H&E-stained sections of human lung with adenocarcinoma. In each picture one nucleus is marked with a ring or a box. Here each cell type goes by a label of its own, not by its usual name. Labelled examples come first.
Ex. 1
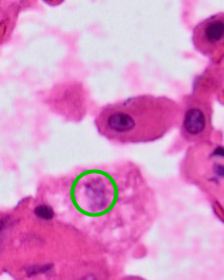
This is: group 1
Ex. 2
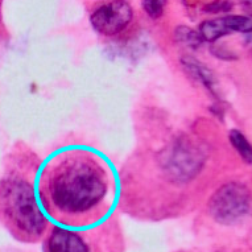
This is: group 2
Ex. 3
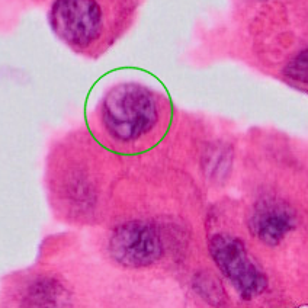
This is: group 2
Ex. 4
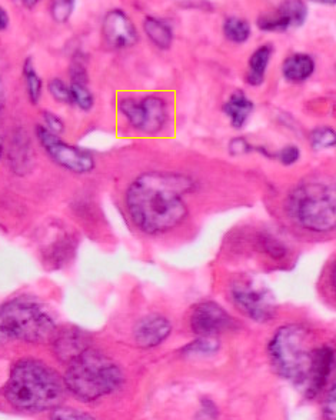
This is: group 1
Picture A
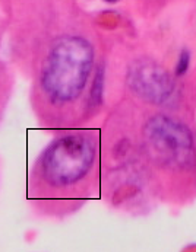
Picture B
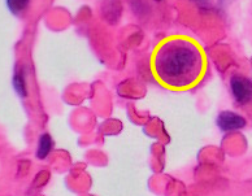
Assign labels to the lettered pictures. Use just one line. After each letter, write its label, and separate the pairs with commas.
A group 2, B group 1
